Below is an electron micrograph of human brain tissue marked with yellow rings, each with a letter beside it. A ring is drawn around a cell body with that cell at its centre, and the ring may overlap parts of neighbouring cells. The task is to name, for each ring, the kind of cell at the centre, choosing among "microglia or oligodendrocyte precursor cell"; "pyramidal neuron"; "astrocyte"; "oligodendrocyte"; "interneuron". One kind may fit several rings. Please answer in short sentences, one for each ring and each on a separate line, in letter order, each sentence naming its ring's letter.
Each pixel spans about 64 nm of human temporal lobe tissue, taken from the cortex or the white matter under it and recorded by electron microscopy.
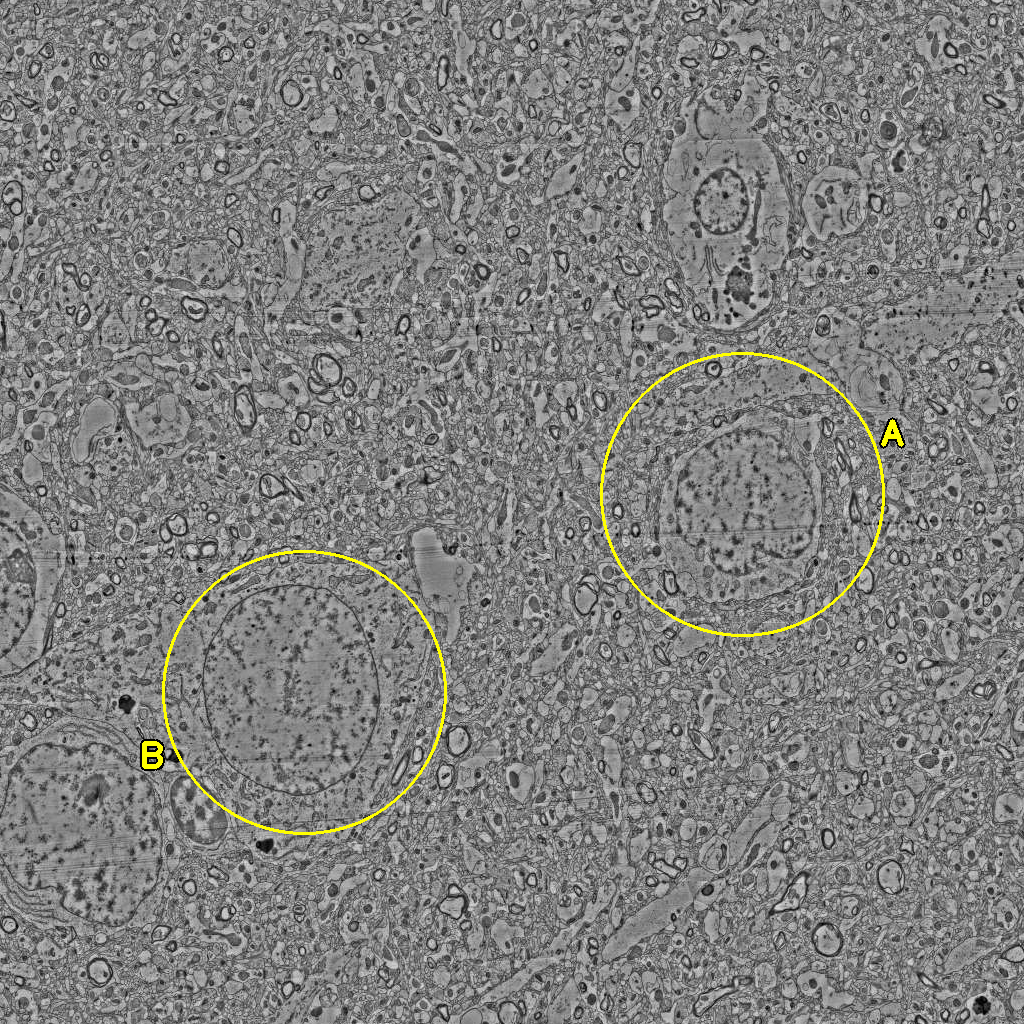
The ring with letter A is centred on an interneuron.
The ring with letter B is centred on a pyramidal neuron.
